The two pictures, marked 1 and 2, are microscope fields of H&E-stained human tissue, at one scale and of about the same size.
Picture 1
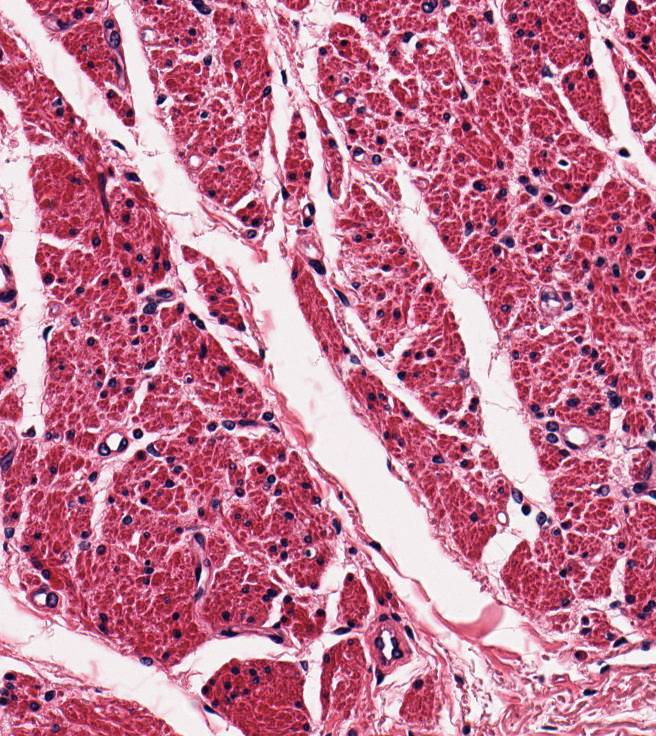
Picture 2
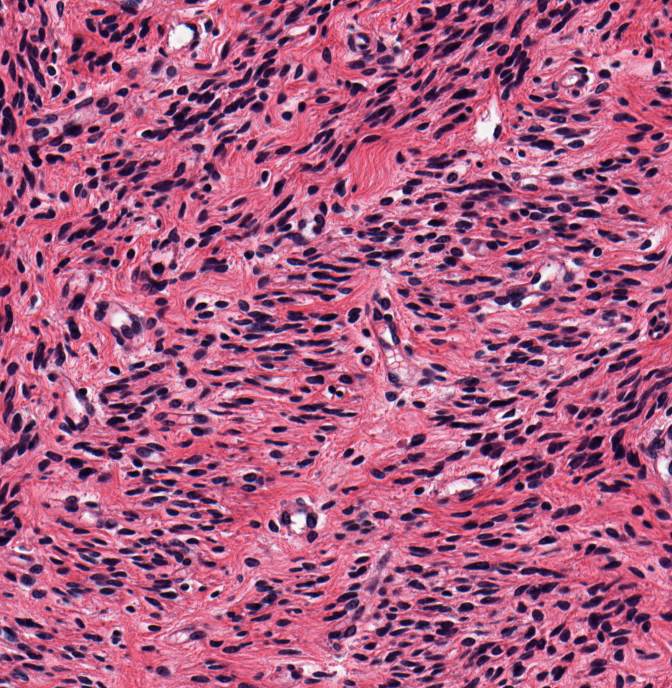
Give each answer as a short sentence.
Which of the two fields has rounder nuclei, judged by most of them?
On the whole the nuclei of picture 1 are rounder than those of picture 2.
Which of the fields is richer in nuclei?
There are more nuclei in picture 2.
